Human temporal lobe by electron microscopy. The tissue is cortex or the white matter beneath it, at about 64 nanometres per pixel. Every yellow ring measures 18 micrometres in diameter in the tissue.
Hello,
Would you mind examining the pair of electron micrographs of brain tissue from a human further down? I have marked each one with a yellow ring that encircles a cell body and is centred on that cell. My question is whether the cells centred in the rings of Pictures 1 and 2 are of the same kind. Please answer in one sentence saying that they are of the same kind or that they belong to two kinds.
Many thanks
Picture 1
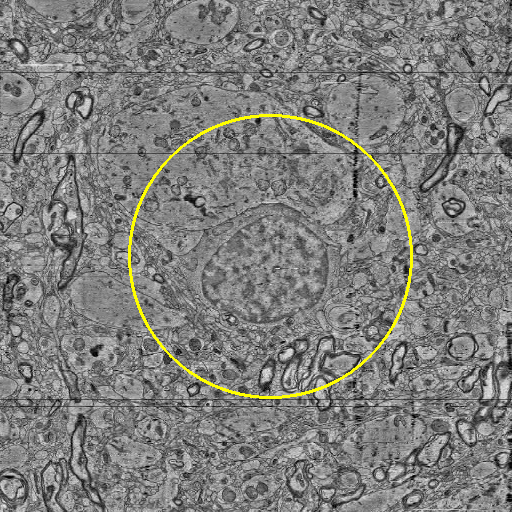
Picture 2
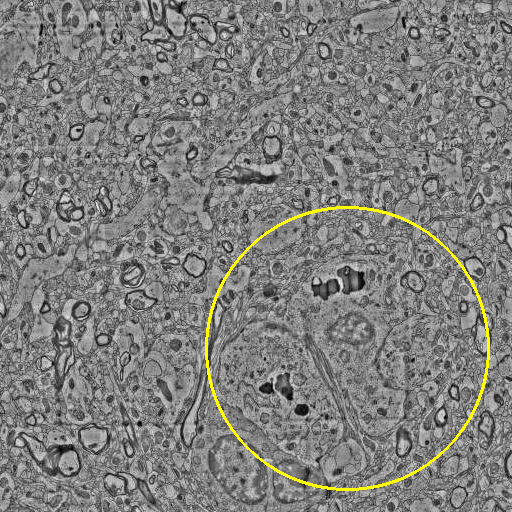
In Pictures 1 and 2, the cells at the heart of the rings belong to two kinds.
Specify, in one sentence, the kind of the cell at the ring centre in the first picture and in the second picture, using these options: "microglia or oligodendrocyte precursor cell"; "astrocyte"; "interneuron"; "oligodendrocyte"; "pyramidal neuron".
So the first is an oligodendrocyte, the second an interneuron.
